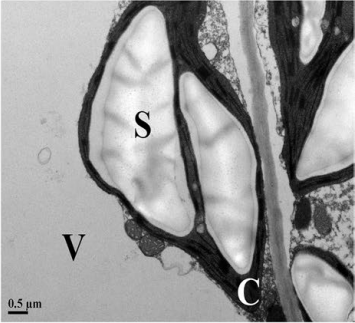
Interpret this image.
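Plant cells seen by transmission electron microscopy, with chloroplasts lying along the cell wall beside a large pale vacuole. Each chloroplast is swollen by one or more large, pale, oval starch granules, so its dark membranous interior is squeezed into a thin rim around them. Smaller dark organelles cluster at the edge of the vacuole.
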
